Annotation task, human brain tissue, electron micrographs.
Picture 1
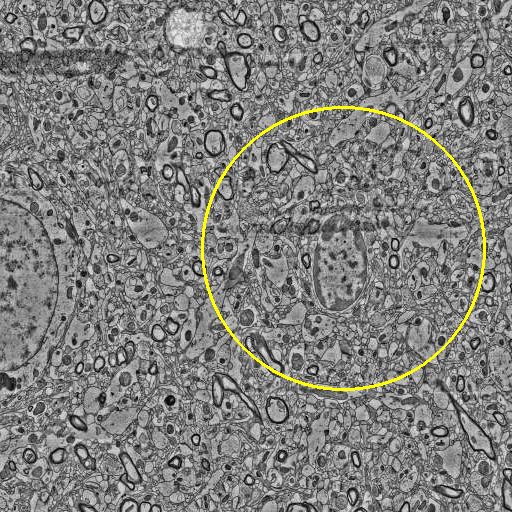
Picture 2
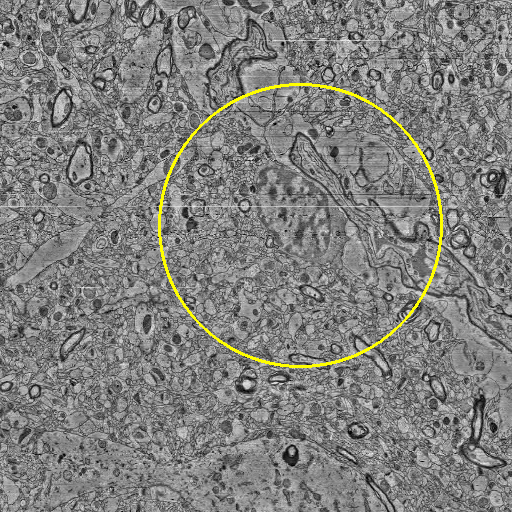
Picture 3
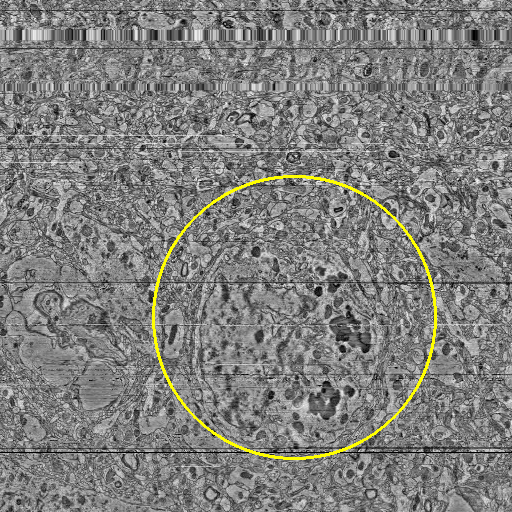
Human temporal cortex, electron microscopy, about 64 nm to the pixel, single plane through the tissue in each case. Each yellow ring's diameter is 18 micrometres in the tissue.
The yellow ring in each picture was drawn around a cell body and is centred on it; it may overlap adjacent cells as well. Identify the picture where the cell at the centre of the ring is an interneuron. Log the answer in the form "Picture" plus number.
Picture 3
